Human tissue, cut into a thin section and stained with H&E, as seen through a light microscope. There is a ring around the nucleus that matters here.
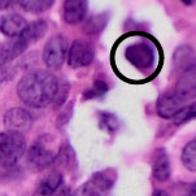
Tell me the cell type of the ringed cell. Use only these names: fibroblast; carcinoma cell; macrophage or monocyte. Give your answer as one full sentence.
Cytologically, the ringed cell is to be regarded as a carcinoma cell.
